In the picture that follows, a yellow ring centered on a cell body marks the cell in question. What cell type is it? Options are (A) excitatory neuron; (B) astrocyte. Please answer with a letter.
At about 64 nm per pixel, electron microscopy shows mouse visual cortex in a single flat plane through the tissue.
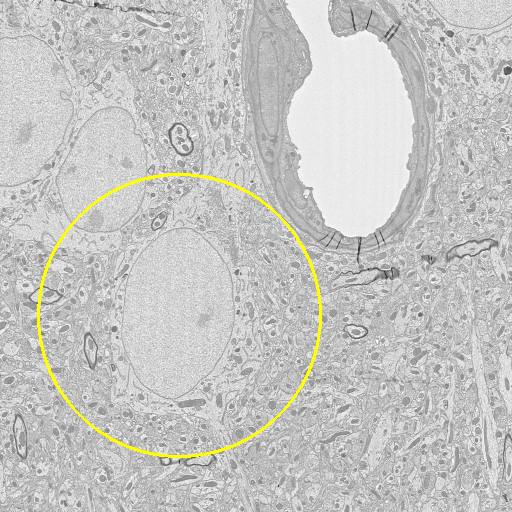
A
